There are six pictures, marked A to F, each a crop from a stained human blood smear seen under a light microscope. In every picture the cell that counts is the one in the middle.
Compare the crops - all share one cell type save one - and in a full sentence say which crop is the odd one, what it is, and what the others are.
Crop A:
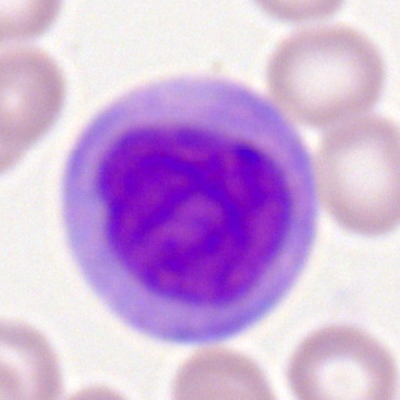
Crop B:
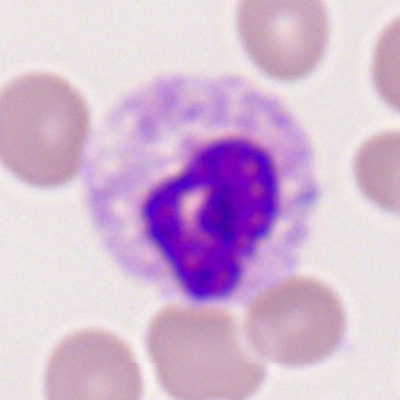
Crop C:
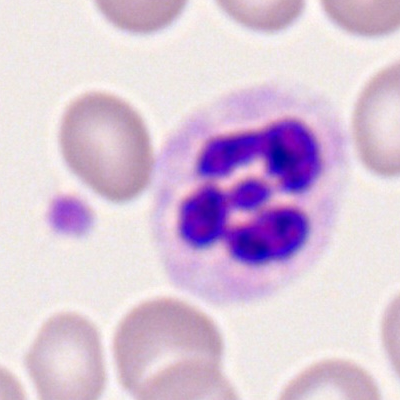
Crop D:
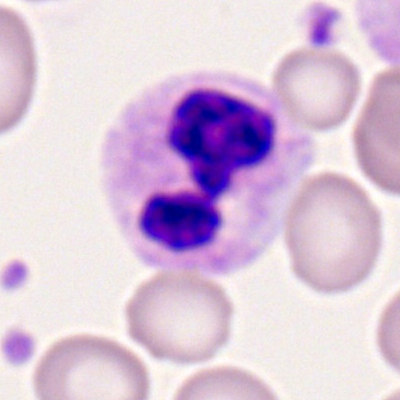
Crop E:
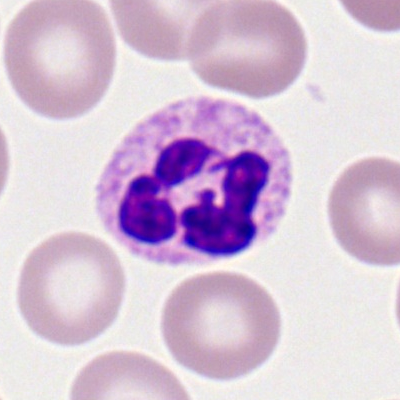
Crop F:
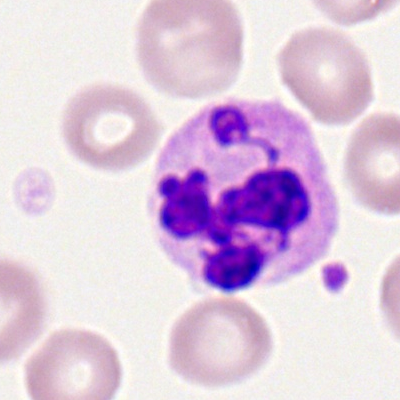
Among the crops, crop A is unique in showing a monocyte; the others show neutrophils.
